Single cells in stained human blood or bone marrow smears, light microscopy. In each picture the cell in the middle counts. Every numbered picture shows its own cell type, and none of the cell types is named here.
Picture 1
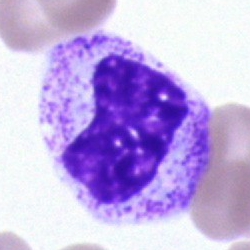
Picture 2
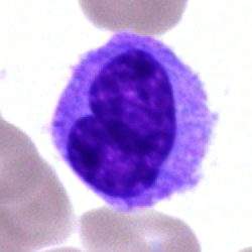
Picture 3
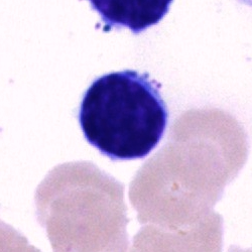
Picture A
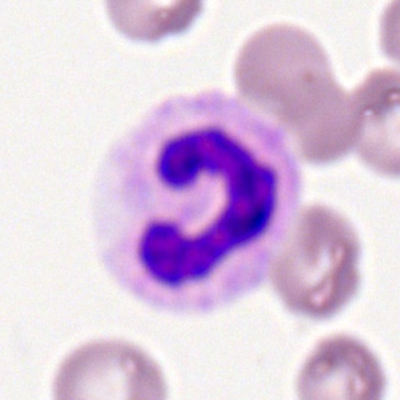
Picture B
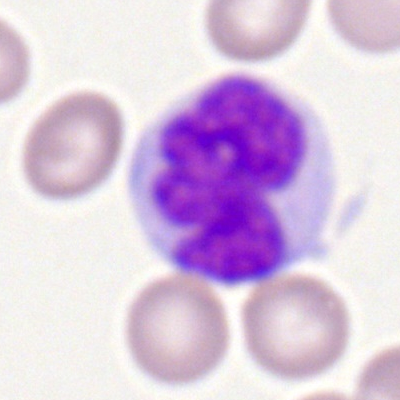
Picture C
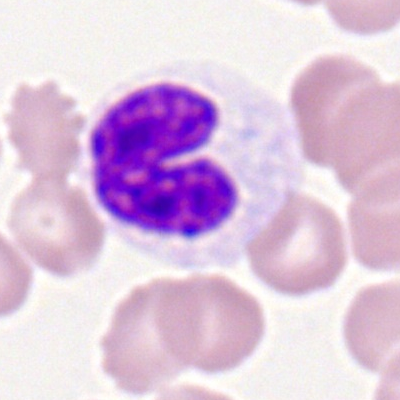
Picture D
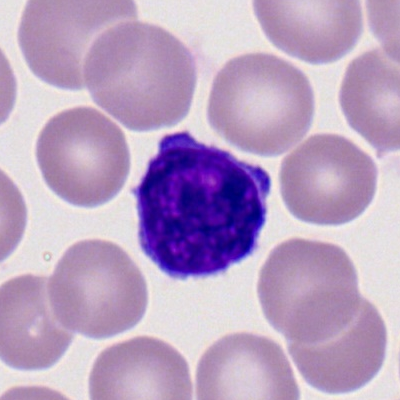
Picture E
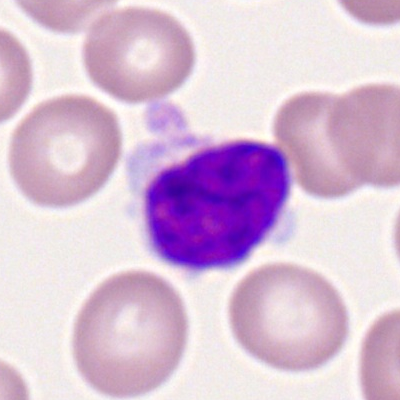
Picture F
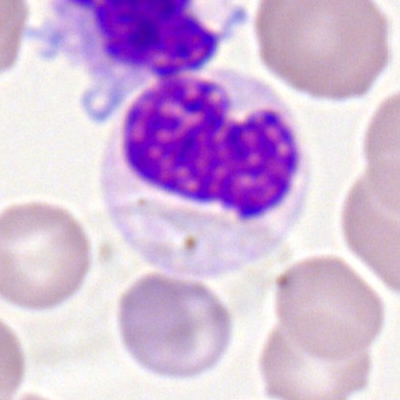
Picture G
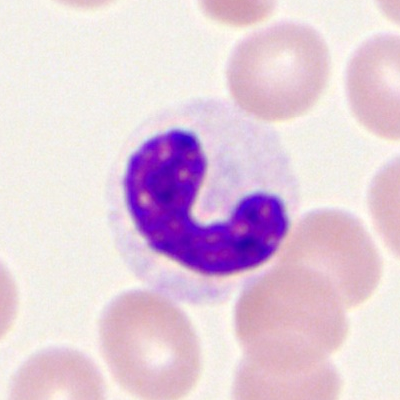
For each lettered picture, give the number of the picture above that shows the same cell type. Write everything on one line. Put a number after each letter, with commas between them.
A 1, B 2, C 1, D 3, E 3, F 1, G 1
